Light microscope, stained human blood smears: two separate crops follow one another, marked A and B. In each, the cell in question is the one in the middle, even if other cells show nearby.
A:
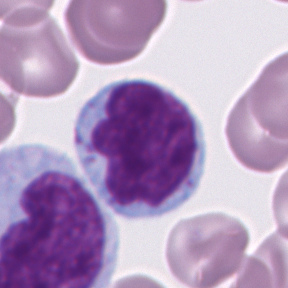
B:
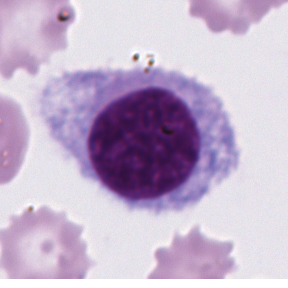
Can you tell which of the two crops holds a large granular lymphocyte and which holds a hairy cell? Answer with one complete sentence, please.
Here crop A is a large granular lymphocyte, and crop B is a hairy cell.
